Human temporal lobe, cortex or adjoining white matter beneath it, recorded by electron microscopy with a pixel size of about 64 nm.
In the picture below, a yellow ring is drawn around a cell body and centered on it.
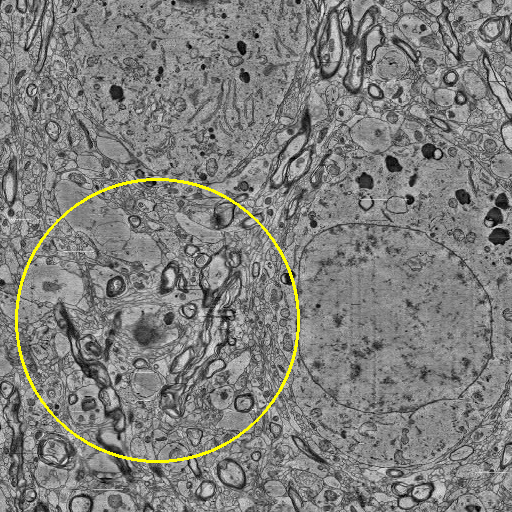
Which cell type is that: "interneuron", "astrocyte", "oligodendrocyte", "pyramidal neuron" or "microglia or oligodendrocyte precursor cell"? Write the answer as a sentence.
The cell centered in the ring is a microglial cell or oligodendrocyte precursor cell.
